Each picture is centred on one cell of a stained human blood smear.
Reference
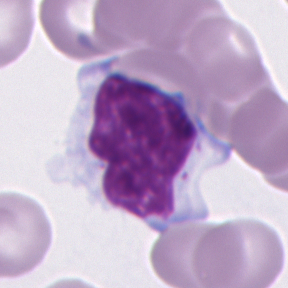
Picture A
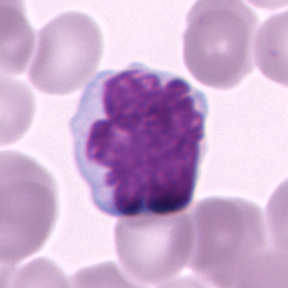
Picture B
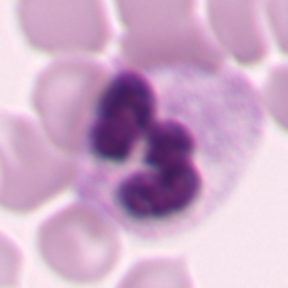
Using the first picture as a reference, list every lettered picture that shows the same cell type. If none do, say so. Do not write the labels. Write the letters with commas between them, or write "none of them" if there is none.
A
